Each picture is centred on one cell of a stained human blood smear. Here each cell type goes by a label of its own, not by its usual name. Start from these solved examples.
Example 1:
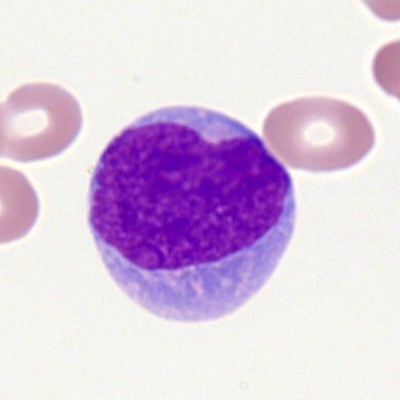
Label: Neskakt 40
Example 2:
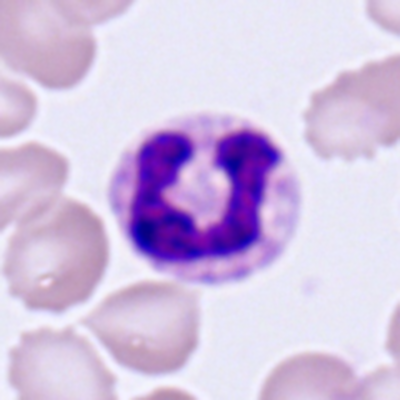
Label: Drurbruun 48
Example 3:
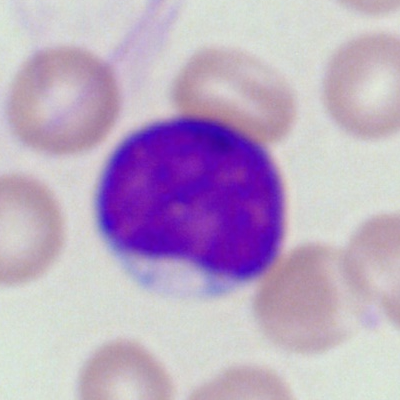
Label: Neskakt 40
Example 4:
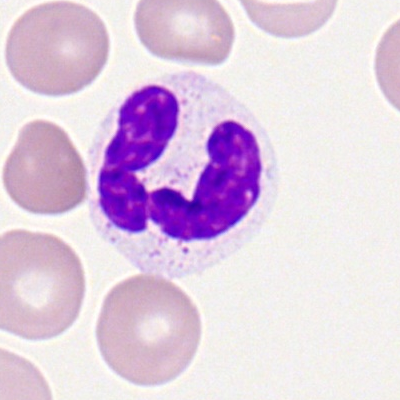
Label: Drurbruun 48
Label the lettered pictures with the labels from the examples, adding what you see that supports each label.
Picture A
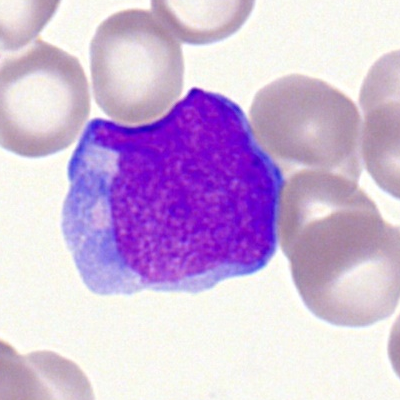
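Neskakt 40. Evidence: The nucleus fills most of the cell.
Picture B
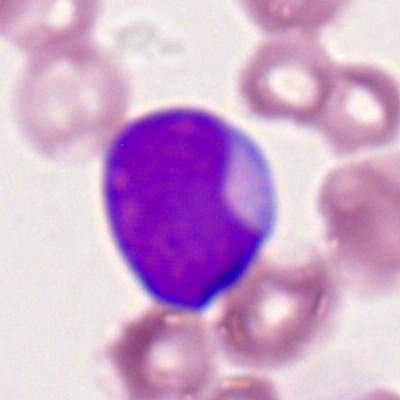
Neskakt 40. Evidence: The nucleus fills most of the cell.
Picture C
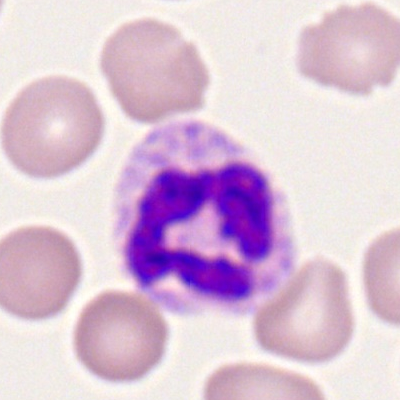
Drurbruun 48. Evidence: The nucleus is a curved band that loops around a pale central patch of cytoplasm.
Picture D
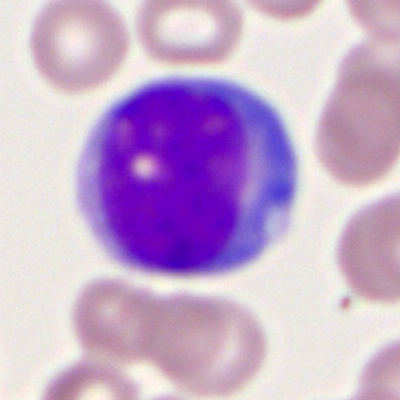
Neskakt 40. Evidence: The nucleus fills most of the cell.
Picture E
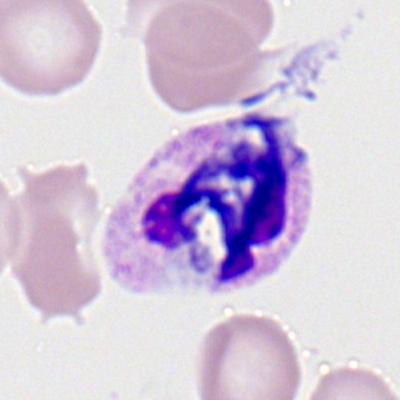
Drurbruun 48. Evidence: The cytoplasm is abundant and pale lilac-pink.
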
